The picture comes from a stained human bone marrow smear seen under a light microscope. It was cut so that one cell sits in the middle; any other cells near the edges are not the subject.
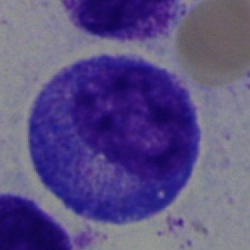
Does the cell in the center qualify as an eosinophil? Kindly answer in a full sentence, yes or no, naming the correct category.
No, that is not an eosinophil; the middle cell is a promyelocyte.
